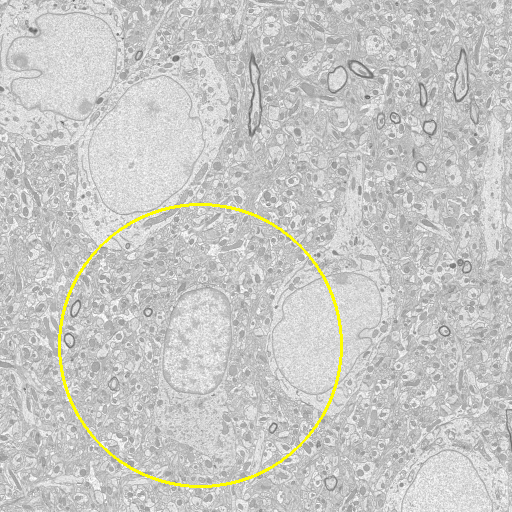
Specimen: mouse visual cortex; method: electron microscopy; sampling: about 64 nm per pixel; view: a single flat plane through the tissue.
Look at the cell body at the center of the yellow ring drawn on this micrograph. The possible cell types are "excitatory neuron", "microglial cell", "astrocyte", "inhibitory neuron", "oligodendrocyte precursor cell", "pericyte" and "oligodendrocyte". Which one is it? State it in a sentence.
The cell in the middle of the ring is an oligodendrocyte.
